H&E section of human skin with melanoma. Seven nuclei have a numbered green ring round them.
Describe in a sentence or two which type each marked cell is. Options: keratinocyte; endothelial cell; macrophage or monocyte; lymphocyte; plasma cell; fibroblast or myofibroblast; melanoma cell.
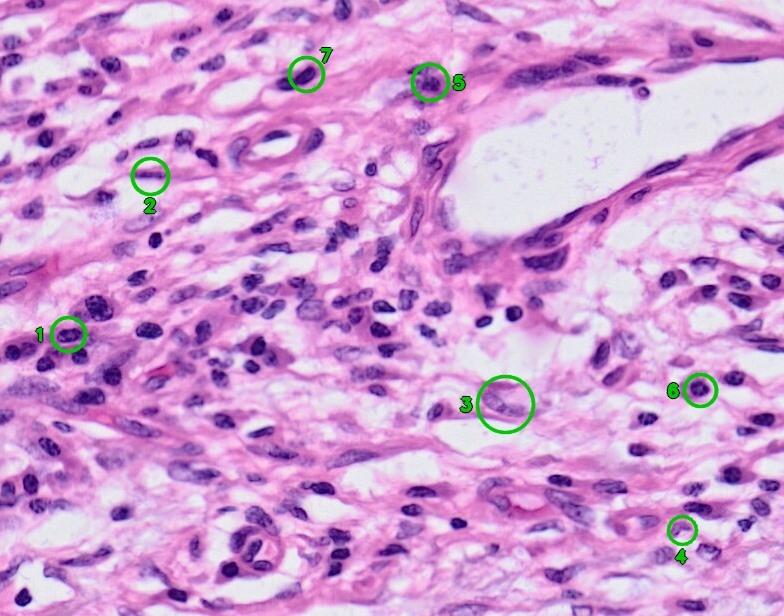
Cells 1, 5, 6 and 7 are plasma cells. Cells 2, 3 and 4 are fibroblasts or myofibroblasts.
